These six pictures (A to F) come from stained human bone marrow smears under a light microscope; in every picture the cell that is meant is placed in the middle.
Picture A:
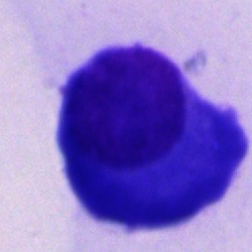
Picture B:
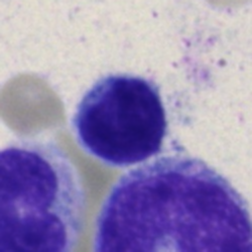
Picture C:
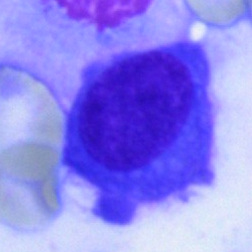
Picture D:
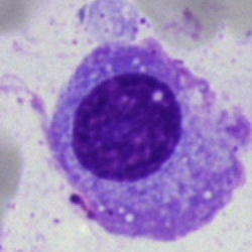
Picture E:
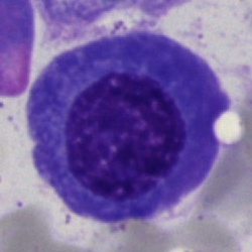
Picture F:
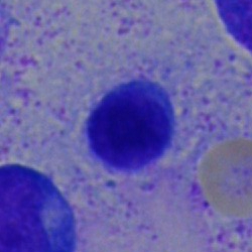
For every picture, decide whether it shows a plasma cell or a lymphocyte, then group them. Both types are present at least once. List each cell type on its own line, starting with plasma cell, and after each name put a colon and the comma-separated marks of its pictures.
plasma cell: A, C, D, E
lymphocyte: B, F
